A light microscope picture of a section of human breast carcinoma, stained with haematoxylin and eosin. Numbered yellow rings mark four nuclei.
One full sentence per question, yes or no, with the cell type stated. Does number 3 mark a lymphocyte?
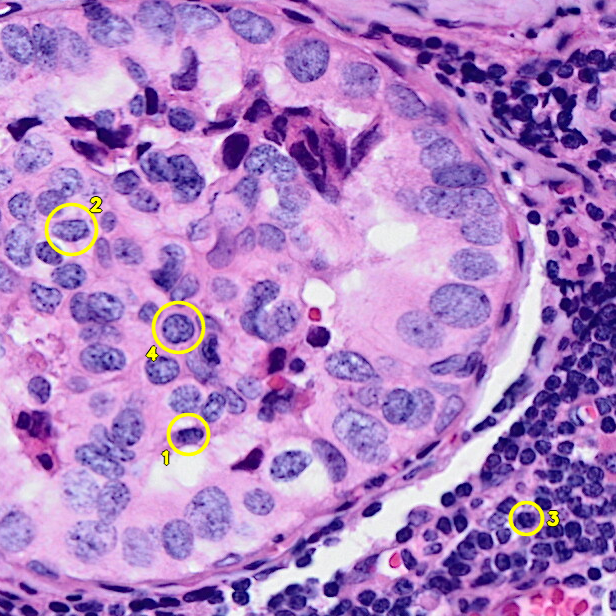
Yes, the cell denoted by 3 is a lymphocyte.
